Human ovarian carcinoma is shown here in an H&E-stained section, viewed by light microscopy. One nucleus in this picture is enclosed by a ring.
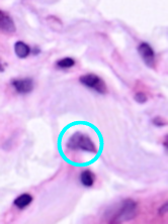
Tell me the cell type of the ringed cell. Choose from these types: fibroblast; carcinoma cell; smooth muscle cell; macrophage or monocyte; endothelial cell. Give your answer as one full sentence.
Histopathologically, the ringed cell is a fibroblast.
